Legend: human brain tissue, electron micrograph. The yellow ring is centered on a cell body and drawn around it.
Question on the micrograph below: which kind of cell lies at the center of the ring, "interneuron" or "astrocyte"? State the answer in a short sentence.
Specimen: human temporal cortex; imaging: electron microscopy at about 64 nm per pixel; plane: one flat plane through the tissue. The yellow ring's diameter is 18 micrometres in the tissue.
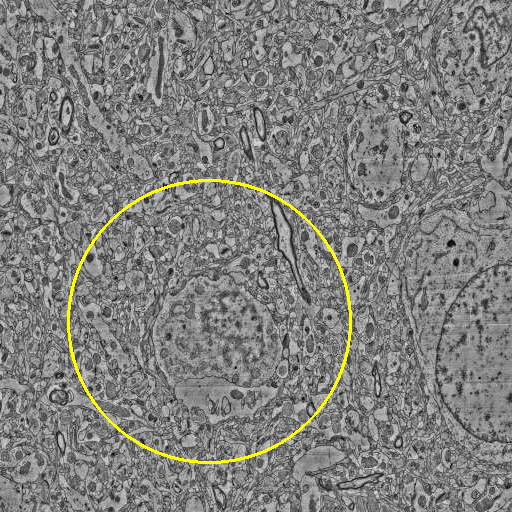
At the center of the ring lies an interneuron.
